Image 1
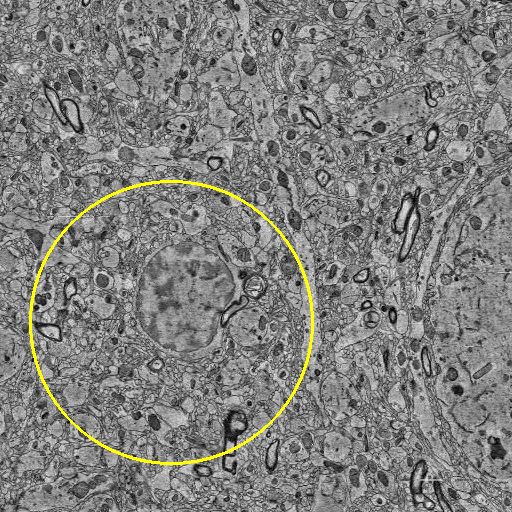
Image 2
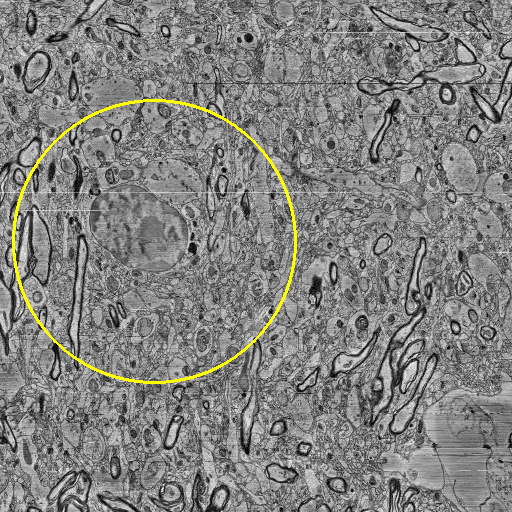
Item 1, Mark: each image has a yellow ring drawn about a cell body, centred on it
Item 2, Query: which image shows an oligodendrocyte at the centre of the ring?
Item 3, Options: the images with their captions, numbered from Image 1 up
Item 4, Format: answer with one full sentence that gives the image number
My answer is image 1, where the cell at the ring's centre fits.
